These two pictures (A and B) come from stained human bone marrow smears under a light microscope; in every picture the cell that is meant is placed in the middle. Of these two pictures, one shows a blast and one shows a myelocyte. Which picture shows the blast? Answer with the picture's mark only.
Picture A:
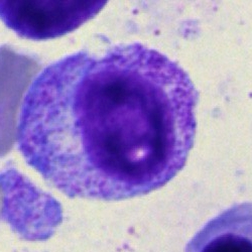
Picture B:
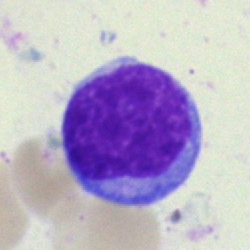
B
